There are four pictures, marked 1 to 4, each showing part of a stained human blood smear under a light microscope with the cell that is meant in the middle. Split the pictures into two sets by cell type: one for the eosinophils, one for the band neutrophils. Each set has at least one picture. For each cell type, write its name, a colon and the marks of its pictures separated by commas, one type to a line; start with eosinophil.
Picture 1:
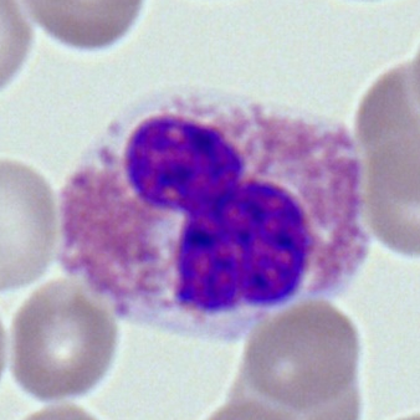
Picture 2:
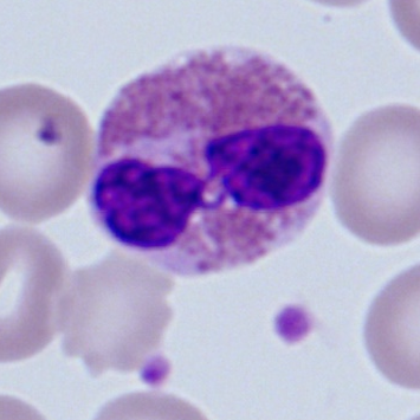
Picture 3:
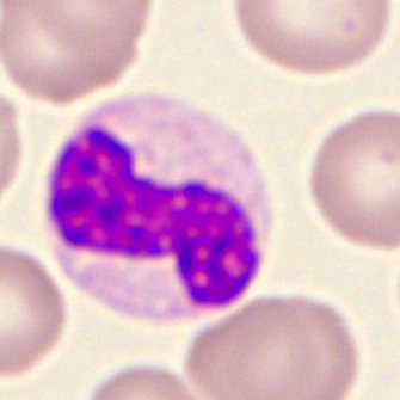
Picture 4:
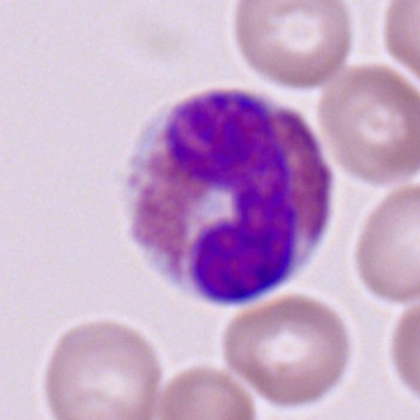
eosinophil: 1, 2, 4
band neutrophil: 3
